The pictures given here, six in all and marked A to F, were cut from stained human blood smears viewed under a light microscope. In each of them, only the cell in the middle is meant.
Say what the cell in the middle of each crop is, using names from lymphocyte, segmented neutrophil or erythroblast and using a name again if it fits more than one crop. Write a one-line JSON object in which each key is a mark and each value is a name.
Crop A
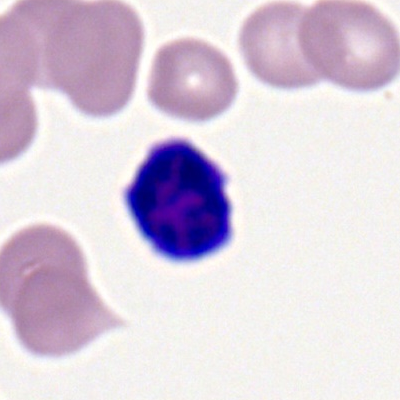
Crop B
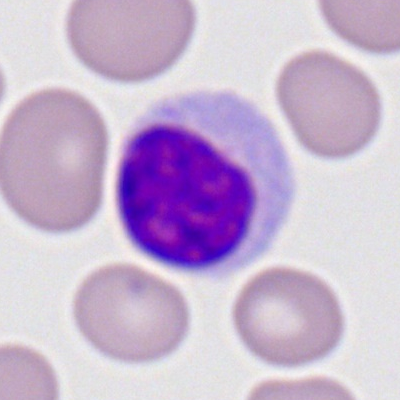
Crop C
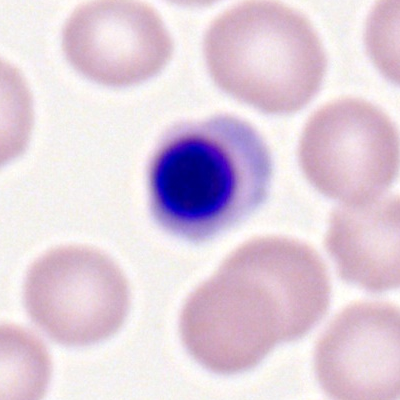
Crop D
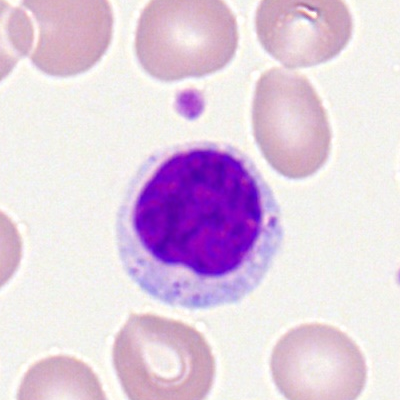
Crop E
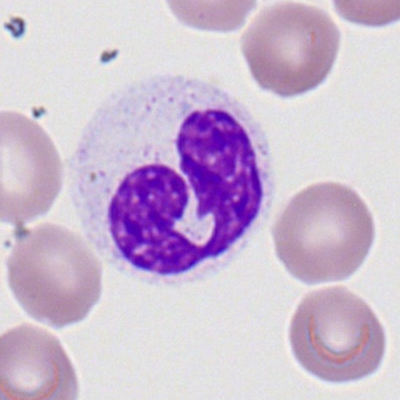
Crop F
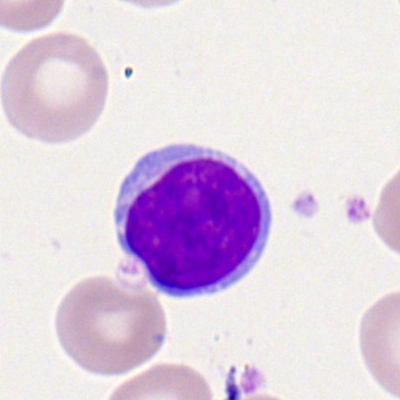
{"A": "lymphocyte", "B": "lymphocyte", "C": "erythroblast", "D": "lymphocyte", "E": "segmented neutrophil", "F": "lymphocyte"}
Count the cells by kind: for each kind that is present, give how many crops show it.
lymphocyte: 4
erythroblast: 1
segmented neutrophil: 1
